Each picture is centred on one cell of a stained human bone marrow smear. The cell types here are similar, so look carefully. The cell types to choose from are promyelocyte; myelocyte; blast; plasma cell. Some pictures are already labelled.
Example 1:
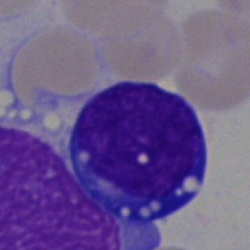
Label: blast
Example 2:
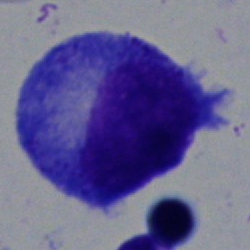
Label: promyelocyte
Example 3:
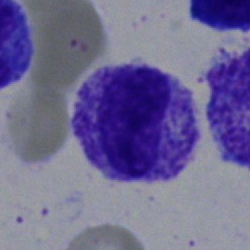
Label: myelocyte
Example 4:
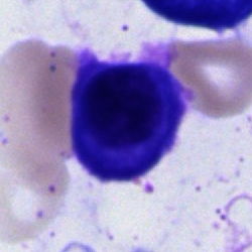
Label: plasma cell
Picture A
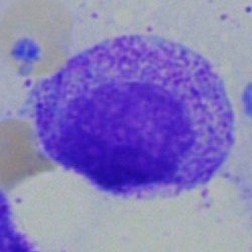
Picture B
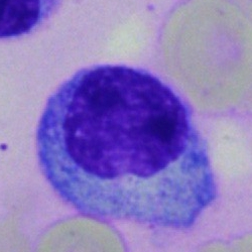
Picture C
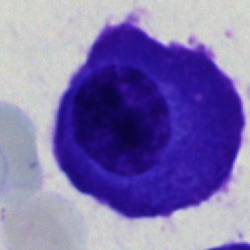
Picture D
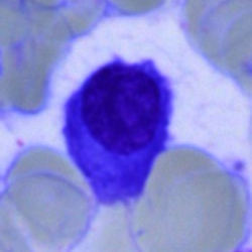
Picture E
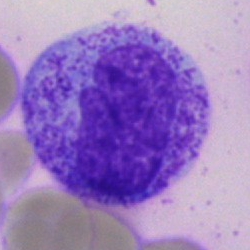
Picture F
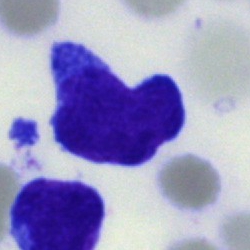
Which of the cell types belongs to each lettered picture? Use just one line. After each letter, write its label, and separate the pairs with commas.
A myelocyte, B myelocyte, C plasma cell, D plasma cell, E myelocyte, F blast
